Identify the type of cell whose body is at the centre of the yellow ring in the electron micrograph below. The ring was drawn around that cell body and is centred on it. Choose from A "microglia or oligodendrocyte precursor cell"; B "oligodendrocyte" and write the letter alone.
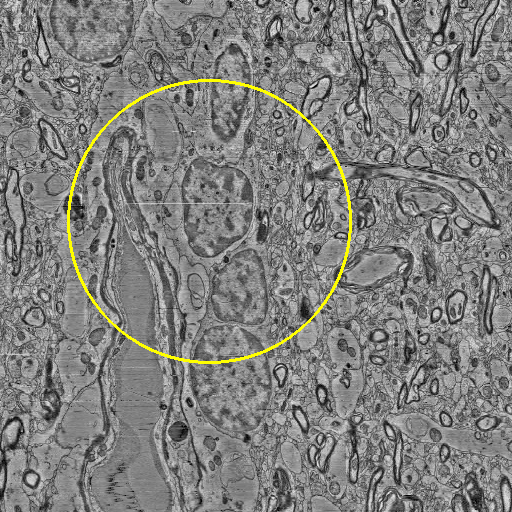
A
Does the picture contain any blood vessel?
Yes, a blood vessel is present in this picture.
